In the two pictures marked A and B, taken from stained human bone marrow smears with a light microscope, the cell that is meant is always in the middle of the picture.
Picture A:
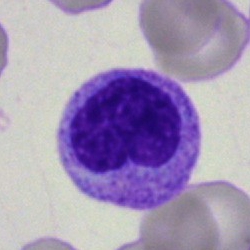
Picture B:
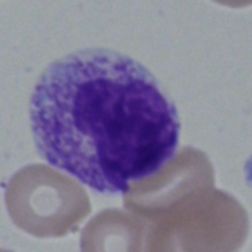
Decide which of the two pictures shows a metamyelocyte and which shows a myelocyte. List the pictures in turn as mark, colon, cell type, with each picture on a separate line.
A: metamyelocyte
B: myelocyte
